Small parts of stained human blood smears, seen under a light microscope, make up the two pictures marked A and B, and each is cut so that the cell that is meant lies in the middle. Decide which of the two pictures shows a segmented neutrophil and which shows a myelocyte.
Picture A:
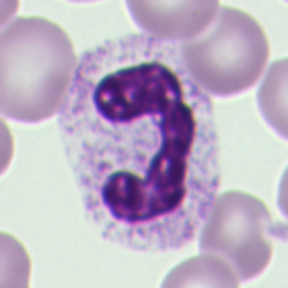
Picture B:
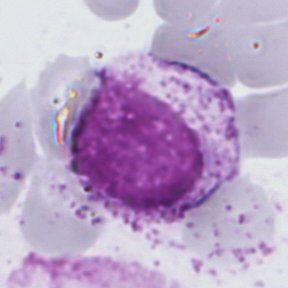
A: segmented neutrophil
B: myelocyte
